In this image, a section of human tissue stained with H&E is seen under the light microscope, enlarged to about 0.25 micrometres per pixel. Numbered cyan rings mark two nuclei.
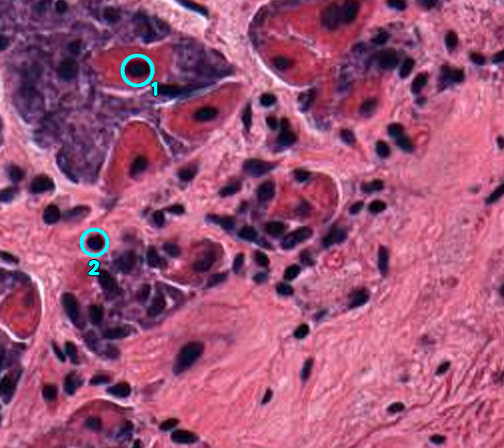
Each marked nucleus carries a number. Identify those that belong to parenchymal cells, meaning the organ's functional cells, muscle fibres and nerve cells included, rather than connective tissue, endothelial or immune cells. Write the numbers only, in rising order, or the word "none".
1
